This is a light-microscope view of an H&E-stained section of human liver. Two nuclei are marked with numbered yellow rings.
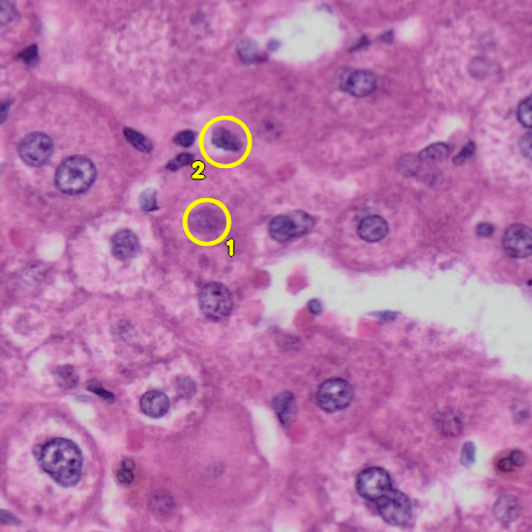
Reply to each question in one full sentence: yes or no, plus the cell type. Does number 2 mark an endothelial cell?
Yes, it checks out; the cell labelled 2 is an endothelial cell.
